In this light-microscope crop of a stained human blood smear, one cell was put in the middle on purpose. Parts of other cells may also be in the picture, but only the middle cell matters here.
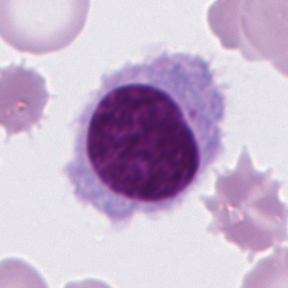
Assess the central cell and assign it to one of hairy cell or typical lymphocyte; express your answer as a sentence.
The cell centered in this field of view is a hairy cell.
